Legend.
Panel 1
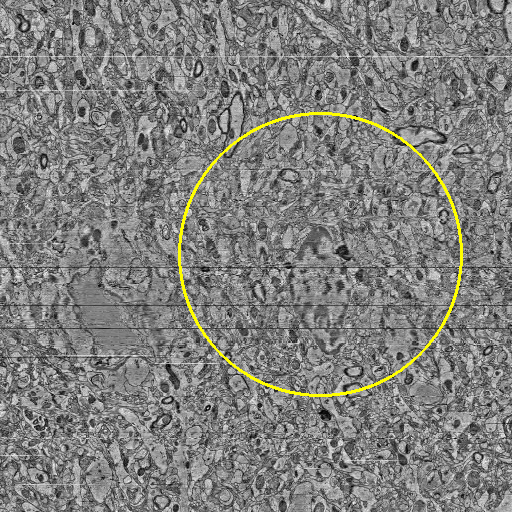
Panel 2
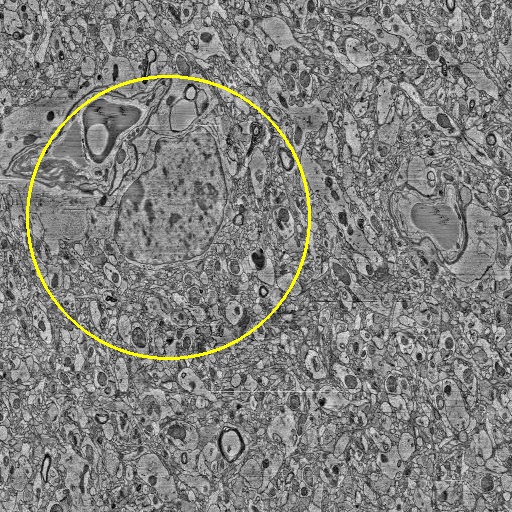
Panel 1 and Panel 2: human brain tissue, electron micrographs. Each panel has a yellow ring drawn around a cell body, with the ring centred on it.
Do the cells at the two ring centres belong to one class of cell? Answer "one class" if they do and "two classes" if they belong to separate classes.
one class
